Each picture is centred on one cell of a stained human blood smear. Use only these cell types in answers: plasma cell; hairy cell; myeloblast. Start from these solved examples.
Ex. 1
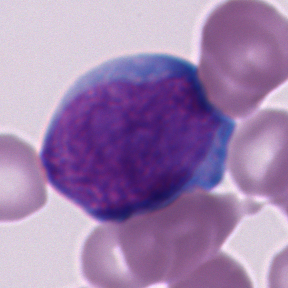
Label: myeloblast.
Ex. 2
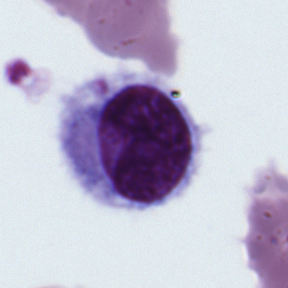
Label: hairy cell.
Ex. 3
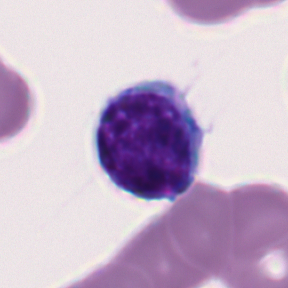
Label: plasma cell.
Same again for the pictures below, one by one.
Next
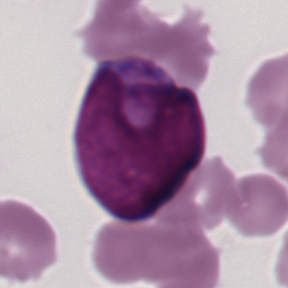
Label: myeloblast.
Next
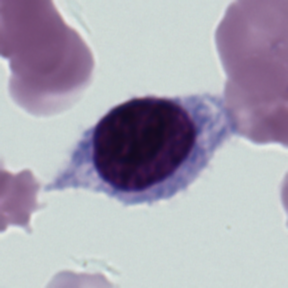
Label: hairy cell.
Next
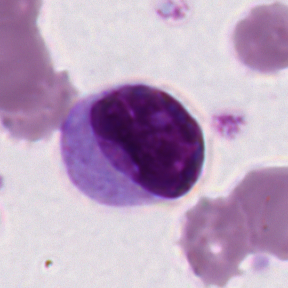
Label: plasma cell.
